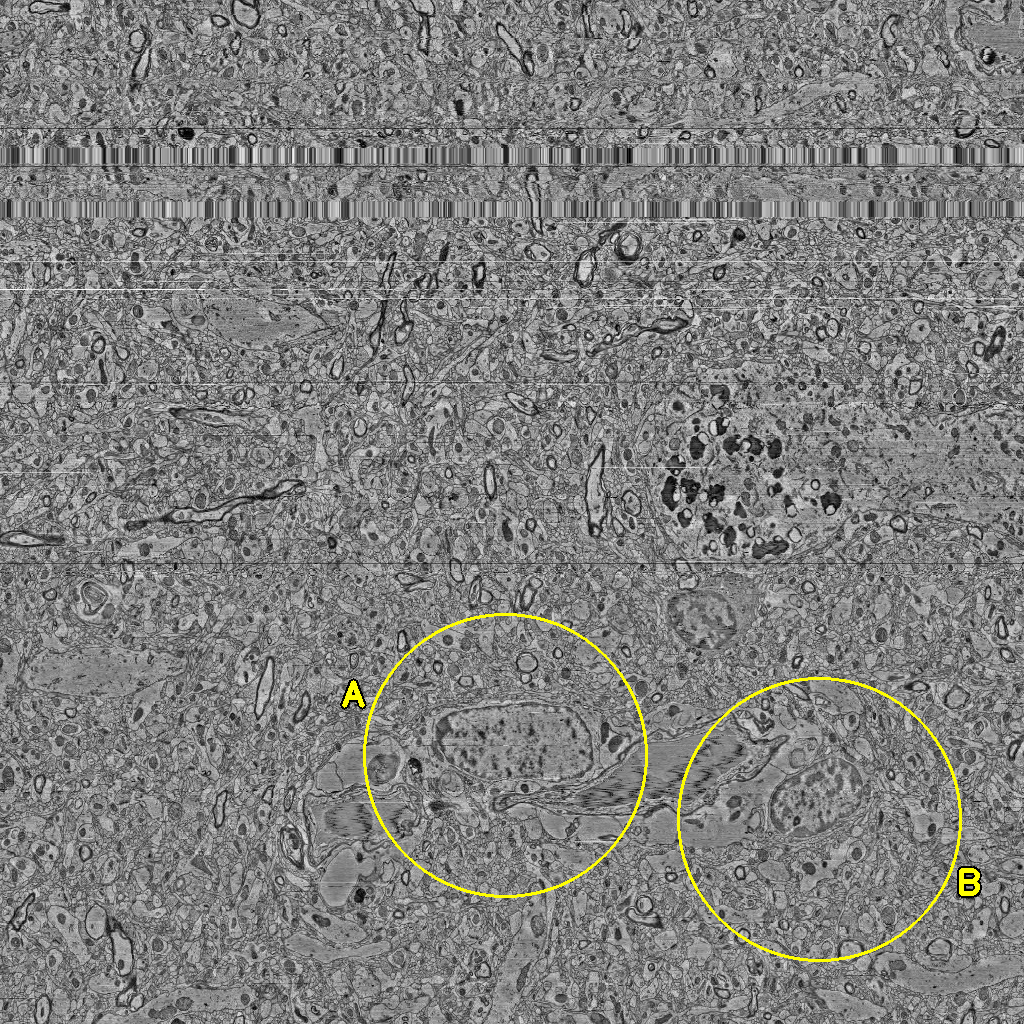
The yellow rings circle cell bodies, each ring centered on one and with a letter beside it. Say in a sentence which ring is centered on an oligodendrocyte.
Ring B is centered on it.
